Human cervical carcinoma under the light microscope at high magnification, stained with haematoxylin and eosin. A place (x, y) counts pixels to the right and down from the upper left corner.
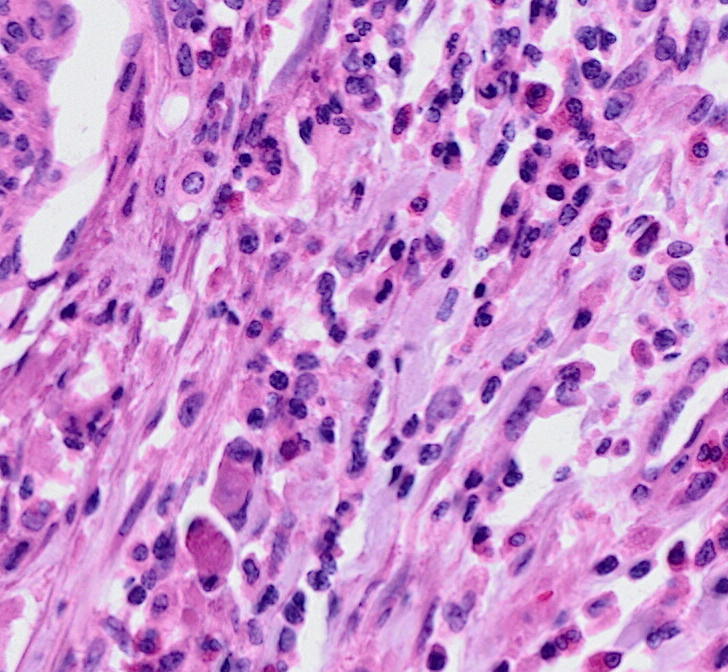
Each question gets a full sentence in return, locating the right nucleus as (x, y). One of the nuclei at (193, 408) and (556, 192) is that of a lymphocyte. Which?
Housed in a lymphocyte is the nucleus at (556, 192), not the other one.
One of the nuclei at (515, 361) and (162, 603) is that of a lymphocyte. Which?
The nucleus of a lymphocyte lies at (515, 361), not at the other position.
